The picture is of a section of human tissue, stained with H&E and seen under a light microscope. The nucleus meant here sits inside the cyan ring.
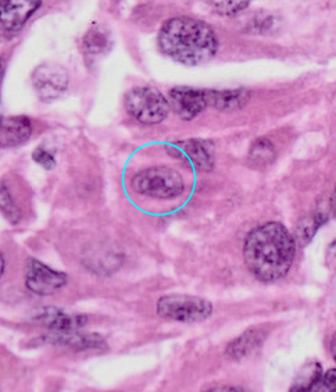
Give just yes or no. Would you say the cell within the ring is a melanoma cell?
yes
